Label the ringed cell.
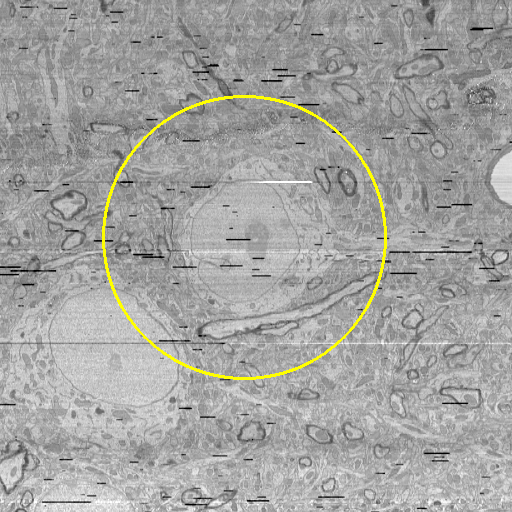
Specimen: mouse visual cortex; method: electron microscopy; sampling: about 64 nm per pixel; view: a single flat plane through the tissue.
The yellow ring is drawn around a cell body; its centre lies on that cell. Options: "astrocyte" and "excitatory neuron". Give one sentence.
The ringed cell is an excitatory neuron.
